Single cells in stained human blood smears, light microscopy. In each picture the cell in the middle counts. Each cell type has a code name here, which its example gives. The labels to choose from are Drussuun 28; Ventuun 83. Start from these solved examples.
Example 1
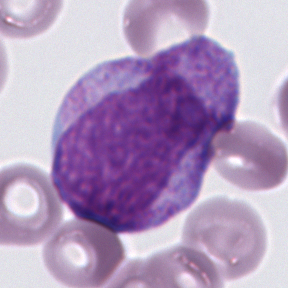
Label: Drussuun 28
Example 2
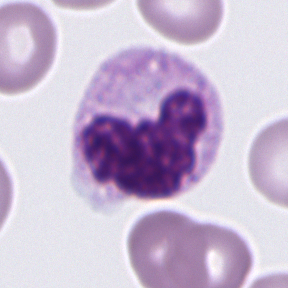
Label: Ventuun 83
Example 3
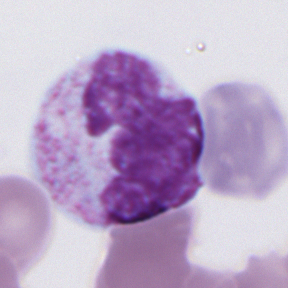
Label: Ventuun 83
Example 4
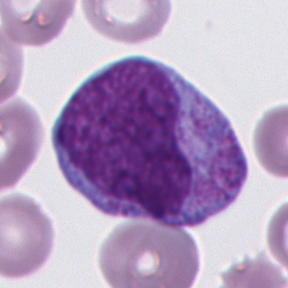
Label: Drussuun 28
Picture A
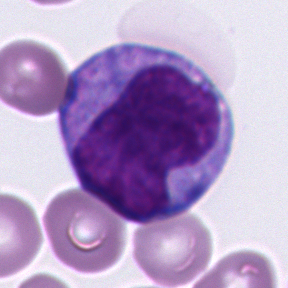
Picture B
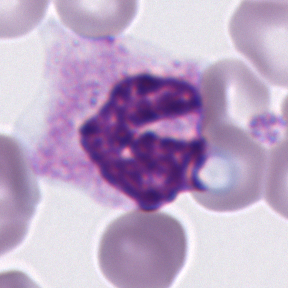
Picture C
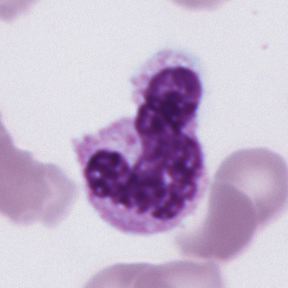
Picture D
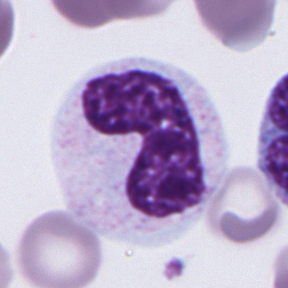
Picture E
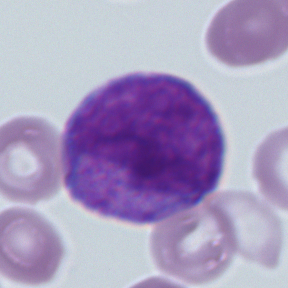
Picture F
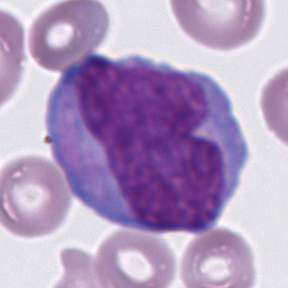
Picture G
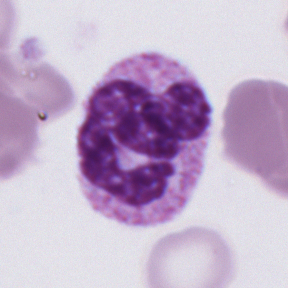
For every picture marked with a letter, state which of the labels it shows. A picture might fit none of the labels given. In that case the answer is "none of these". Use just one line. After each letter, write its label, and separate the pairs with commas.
A Drussuun 28, B Ventuun 83, C Ventuun 83, D none of these, E Drussuun 28, F Drussuun 28, G Ventuun 83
